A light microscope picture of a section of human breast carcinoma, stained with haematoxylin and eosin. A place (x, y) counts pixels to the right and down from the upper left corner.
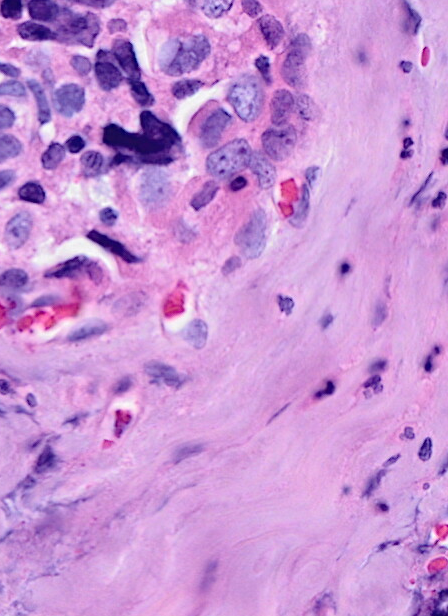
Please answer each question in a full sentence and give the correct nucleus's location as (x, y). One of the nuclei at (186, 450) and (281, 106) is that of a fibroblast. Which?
The nucleus at (186, 450) is part of a fibroblast, while the other is not.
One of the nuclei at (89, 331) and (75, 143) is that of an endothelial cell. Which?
The nucleus at (89, 331) is housed in an endothelial cell.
